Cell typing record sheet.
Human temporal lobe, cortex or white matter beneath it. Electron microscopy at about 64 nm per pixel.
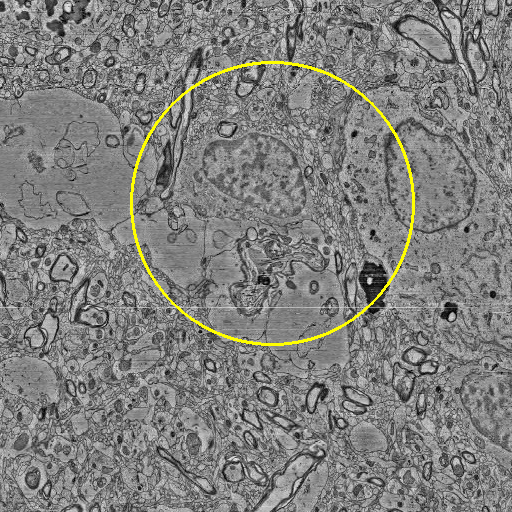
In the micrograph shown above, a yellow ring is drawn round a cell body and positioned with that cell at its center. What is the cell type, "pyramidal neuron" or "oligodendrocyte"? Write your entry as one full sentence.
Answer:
The cell body at the center of the ring belongs to an oligodendrocyte.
